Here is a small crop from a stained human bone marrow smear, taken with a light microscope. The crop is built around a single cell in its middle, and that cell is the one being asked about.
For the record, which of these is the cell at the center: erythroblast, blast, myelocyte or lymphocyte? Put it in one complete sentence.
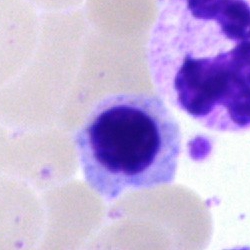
The cell at the middle of the frame should be recorded as an erythroblast.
